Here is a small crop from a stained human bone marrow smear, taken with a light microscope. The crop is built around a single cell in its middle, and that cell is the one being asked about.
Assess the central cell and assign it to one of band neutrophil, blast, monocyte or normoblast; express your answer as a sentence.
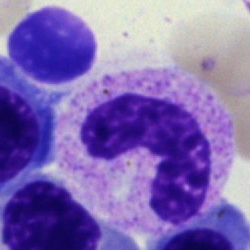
The central cell in this smear crop is a band neutrophil.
